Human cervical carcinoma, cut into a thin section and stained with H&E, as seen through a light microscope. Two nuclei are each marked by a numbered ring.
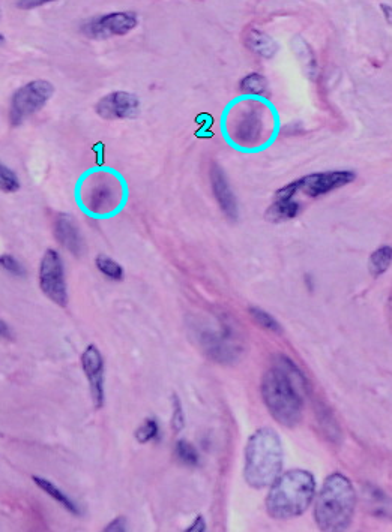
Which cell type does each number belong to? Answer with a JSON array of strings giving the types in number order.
["fibroblast", "endothelial cell"]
